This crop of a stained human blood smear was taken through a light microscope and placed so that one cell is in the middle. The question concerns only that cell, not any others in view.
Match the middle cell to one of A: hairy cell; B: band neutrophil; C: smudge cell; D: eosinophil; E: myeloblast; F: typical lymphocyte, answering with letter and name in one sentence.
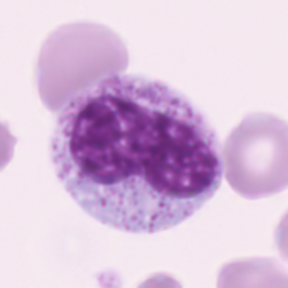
That middle cell is a band neutrophil, and option B is therefore correct.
